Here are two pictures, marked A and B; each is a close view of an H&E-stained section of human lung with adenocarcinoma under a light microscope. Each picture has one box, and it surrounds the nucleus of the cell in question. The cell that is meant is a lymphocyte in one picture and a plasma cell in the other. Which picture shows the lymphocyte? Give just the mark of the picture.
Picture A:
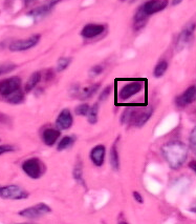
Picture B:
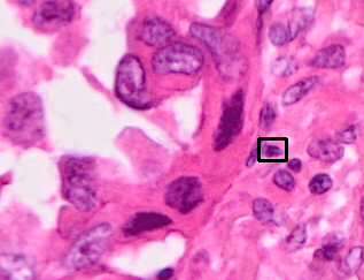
B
